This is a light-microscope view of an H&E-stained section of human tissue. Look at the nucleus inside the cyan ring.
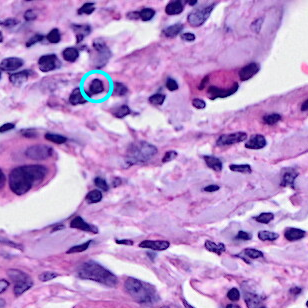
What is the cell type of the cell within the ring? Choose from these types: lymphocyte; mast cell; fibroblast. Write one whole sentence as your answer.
As to its cell type, the cell within the ring is a lymphocyte.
